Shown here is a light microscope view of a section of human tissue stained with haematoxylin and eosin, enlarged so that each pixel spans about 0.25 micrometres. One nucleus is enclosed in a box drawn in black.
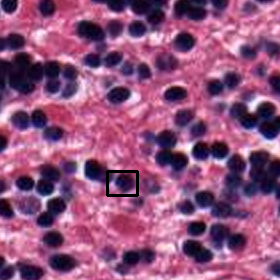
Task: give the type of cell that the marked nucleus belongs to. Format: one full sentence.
The marked nucleus belongs, in this picture, to a cerebellar granule cell.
